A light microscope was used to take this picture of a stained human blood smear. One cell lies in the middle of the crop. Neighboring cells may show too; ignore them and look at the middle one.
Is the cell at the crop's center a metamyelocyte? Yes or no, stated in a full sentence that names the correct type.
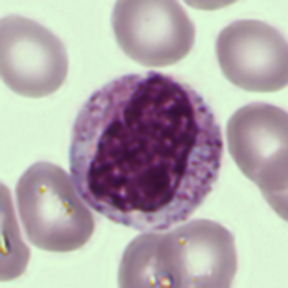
Yes, the cell at the centre of the field is a metamyelocyte.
